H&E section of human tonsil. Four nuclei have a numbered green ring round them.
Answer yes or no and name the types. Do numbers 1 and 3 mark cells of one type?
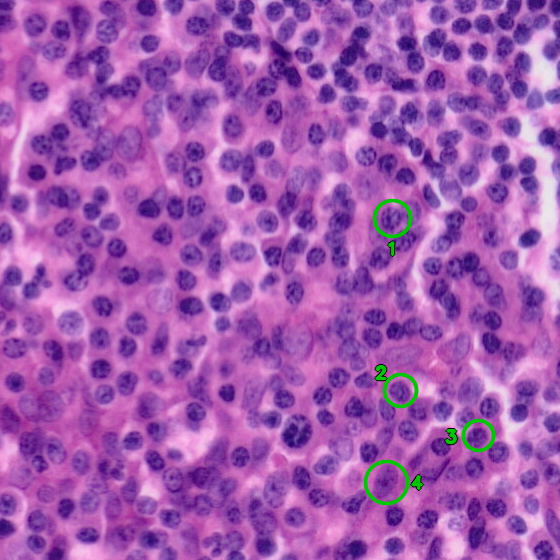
Yes, both are plasma cells.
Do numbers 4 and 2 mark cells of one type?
No, cell 4 is a squamous epithelial cell and cell 2 is a plasma cell.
